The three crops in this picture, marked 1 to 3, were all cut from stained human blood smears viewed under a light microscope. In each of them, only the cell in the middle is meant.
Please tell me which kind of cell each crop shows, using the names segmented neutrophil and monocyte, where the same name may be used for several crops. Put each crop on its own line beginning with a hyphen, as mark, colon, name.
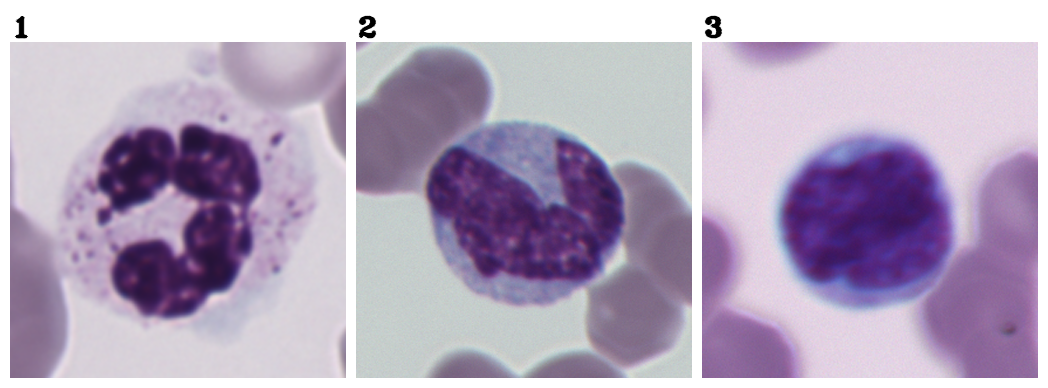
- 1: segmented neutrophil
- 2: monocyte
- 3: monocyte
